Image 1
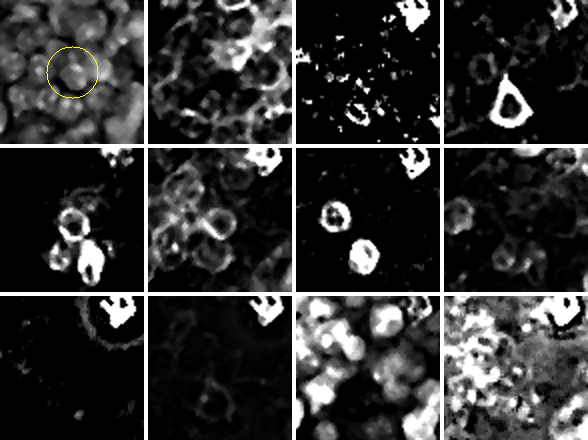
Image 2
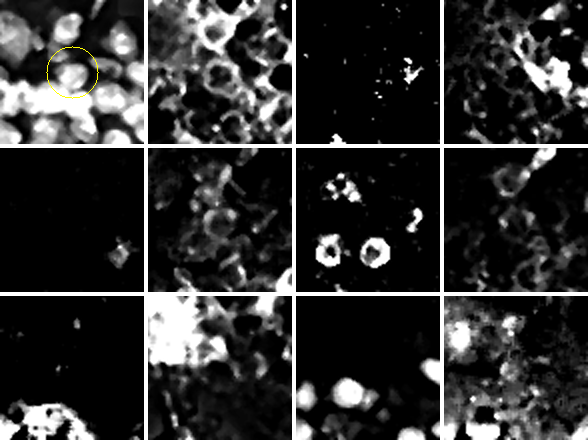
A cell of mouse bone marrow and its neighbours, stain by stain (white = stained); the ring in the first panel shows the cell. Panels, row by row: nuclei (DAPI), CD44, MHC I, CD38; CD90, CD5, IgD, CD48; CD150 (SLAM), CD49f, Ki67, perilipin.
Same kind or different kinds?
Different: the first is a T cell, the second a capillary endothelial cell.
